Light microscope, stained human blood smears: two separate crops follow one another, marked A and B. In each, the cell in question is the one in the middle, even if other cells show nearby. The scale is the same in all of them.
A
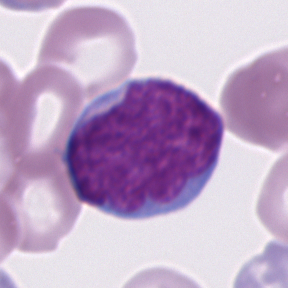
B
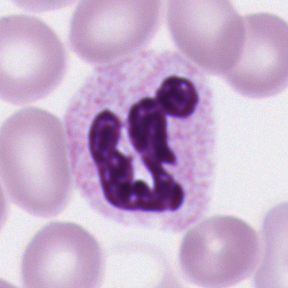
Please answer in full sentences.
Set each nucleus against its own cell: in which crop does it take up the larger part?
It is the cell in picture A that is filled more by its nucleus.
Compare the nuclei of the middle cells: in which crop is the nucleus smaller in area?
Smaller is the nucleus in picture B, and the other is about 2 times as large in area.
